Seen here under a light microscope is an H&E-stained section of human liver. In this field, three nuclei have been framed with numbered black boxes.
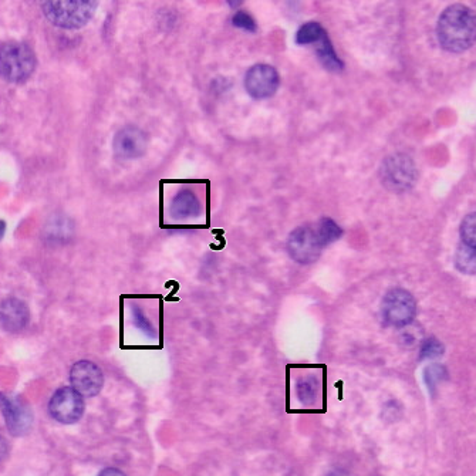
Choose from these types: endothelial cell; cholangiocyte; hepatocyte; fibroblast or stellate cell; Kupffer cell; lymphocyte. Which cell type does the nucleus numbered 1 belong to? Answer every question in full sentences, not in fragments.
In this section, number 1 marks an endothelial cell.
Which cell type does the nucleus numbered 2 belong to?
The cell indicated with the number 2 is classed as an endothelial cell.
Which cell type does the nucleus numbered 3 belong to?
The cell identified by the number 3 is a Kupffer cell.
